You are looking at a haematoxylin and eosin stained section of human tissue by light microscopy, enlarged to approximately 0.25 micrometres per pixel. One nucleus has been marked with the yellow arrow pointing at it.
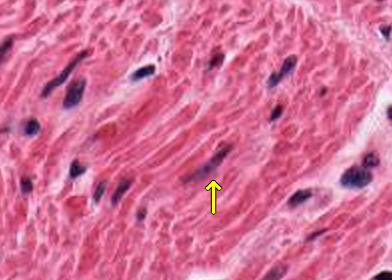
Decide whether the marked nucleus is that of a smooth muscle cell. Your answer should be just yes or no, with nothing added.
yes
